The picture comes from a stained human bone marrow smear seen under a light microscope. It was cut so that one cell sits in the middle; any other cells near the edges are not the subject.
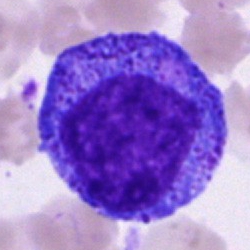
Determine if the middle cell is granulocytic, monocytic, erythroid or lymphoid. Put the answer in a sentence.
With respect to lineage, the central cell is to be called granulocytic.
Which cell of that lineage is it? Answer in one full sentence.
The centrally placed cell is classified as a promyelocyte.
